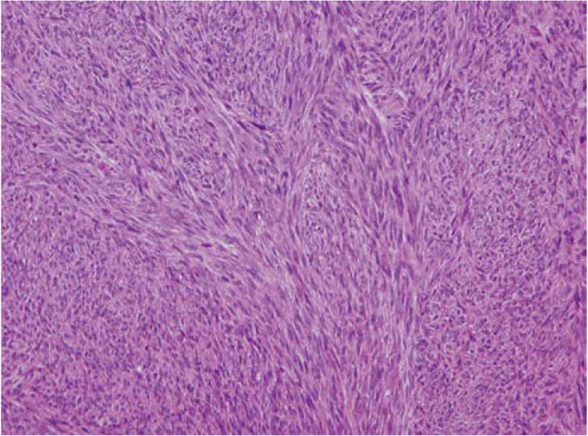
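This is a densely cellular tumor made of spindle cells, seen at low magnification in pink and purple. The cells are elongated with tapering ends and lie so closely together that little stroma is seen between them. They are grouped into long bundles, or fascicles, that sweep across the field and cross one another at angles. Where a bundle is cut across, the nuclei look rounder and more crowded, while along its length they appear as slender purple streaks.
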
